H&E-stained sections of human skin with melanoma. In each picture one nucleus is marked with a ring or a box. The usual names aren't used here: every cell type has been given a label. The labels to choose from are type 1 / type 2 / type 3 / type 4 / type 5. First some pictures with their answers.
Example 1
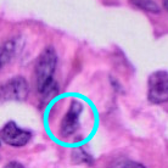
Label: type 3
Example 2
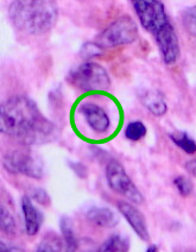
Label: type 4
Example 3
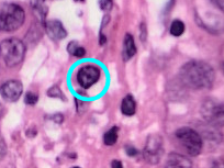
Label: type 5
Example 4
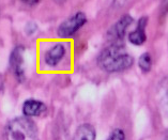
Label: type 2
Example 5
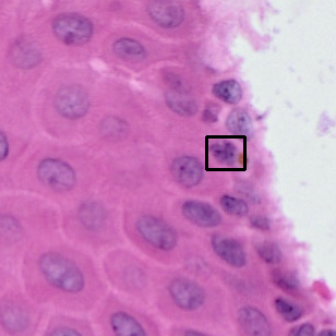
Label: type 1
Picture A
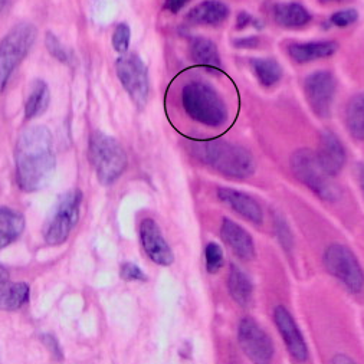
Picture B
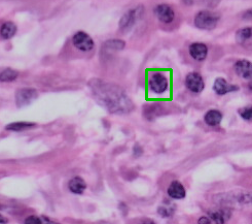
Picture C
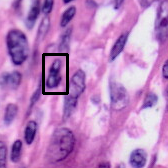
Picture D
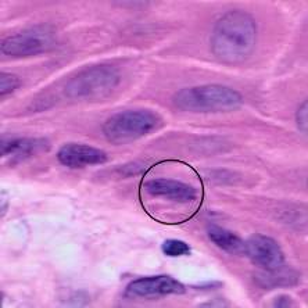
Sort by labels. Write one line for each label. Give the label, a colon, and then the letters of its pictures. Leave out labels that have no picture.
type 1: A, D
type 2: C
type 5: B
